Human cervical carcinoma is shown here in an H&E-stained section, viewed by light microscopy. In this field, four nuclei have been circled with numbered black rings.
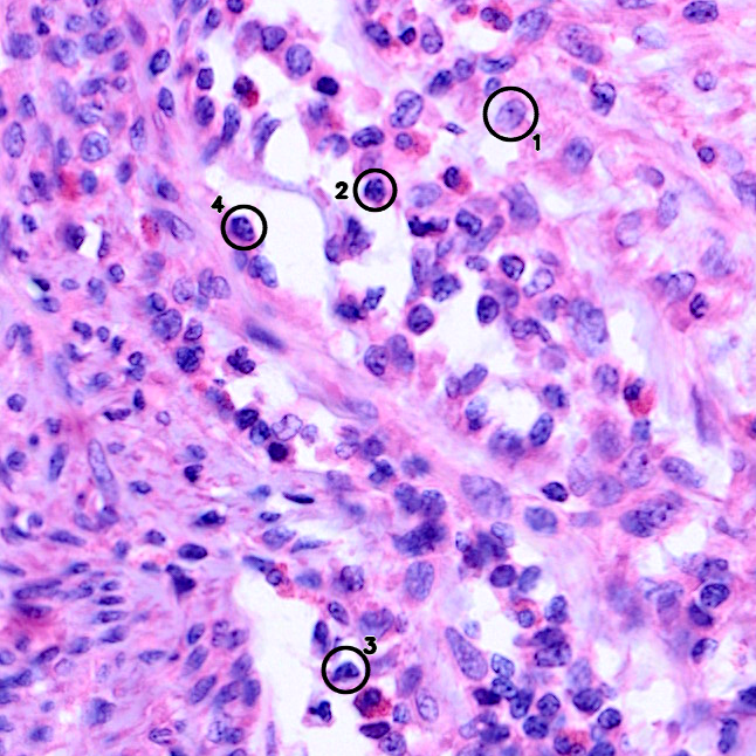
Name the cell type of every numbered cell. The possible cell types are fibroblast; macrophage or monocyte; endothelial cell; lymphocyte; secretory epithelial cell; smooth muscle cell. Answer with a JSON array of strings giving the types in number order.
["macrophage or monocyte", "lymphocyte", "lymphocyte", "lymphocyte"]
